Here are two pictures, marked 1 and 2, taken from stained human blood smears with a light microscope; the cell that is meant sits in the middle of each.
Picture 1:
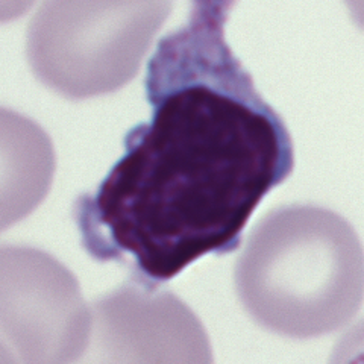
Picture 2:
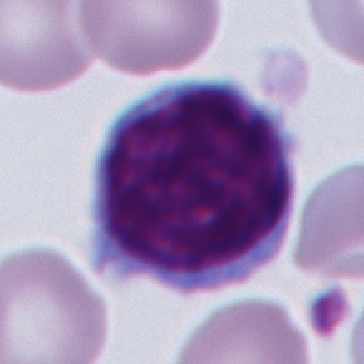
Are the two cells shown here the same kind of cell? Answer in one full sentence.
Yes, the two pictures both show typical lymphocytes.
